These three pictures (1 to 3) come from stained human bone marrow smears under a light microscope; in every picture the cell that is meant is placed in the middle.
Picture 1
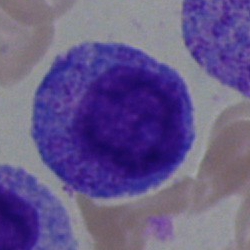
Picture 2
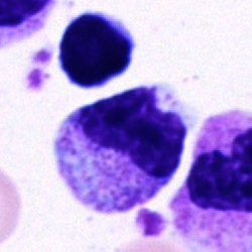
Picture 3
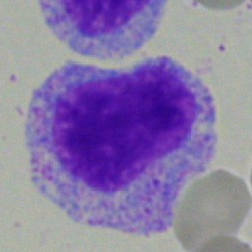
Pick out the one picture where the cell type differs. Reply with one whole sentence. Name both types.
Unlike the rest, which show myelocytes, picture 2 shows a metamyelocyte.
